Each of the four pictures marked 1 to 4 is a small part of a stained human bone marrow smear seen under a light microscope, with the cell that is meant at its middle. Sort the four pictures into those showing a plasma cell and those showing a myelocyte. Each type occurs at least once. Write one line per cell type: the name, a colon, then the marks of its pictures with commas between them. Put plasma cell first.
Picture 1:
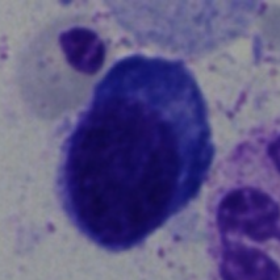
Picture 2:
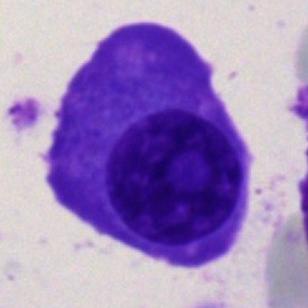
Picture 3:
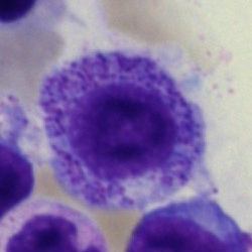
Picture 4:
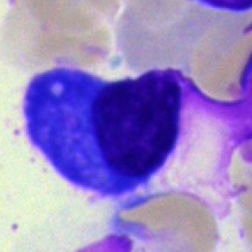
plasma cell: 1, 2, 4
myelocyte: 3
